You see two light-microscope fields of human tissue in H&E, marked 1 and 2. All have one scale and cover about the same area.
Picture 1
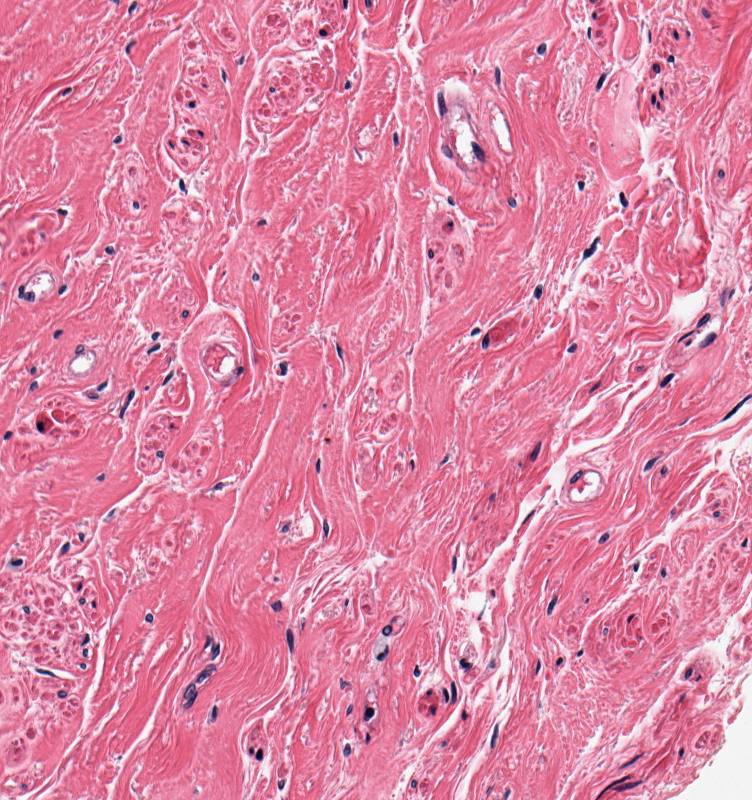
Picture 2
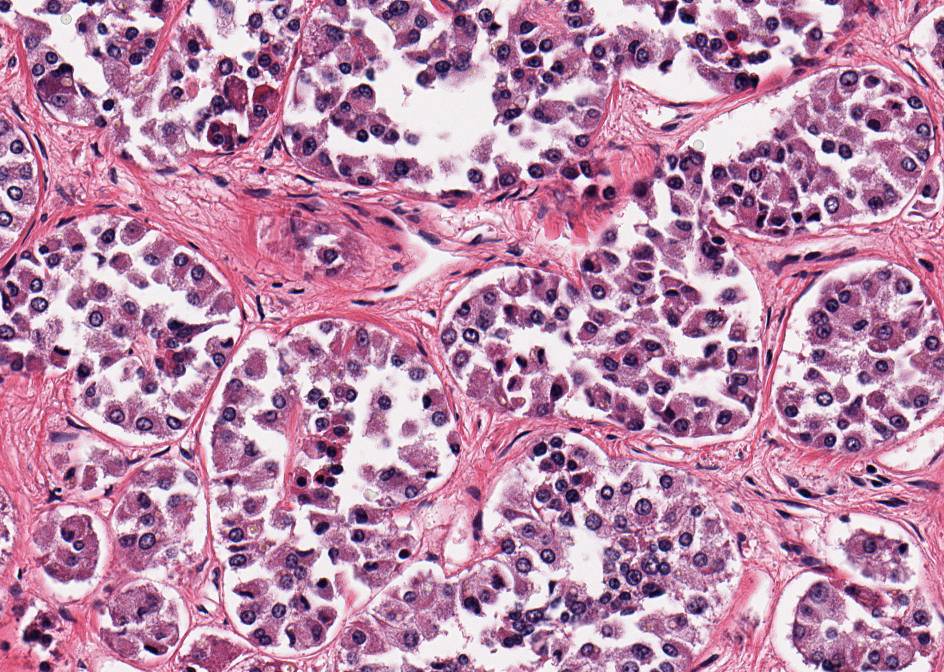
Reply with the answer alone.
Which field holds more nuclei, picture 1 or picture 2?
2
